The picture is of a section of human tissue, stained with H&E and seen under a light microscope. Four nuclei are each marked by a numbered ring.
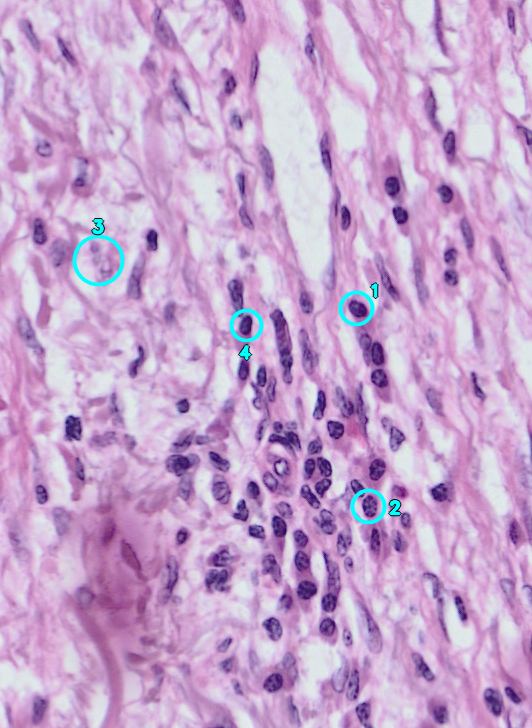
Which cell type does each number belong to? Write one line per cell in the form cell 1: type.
cell 1: plasma cell
cell 2: plasma cell
cell 3: fibroblast or myofibroblast
cell 4: plasma cell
